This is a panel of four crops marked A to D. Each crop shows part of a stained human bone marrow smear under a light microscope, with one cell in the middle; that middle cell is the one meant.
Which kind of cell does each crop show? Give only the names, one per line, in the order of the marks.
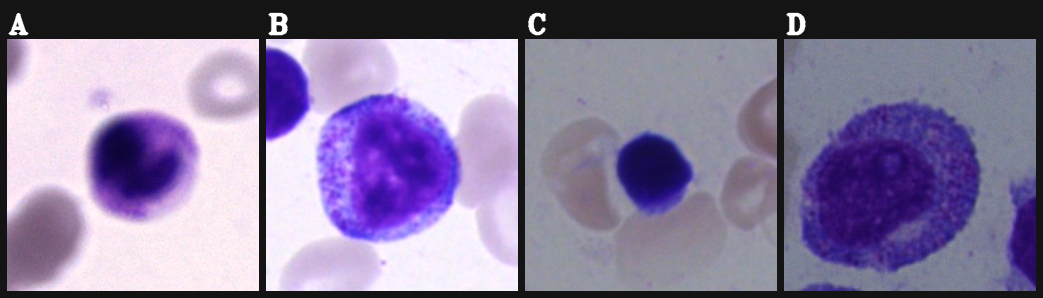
segmented neutrophil
promyelocyte
lymphocyte
promyelocyte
